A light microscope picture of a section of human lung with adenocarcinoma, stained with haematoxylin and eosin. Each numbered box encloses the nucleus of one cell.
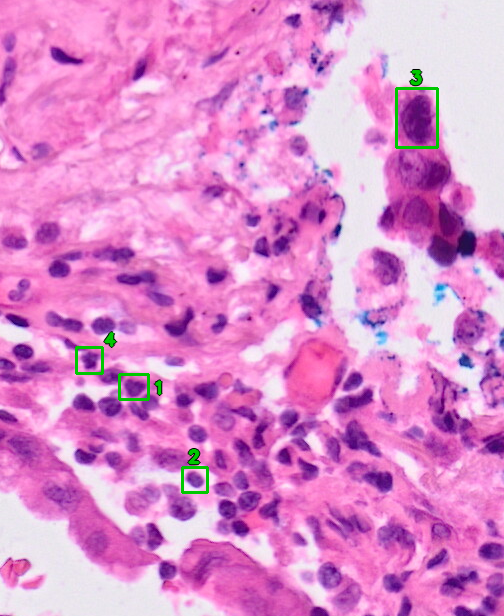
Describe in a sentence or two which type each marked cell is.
Cell 1 is a lymphocyte, cell 2 is a lymphocyte, cell 3 is a carcinoma cell and cell 4 is a lymphocyte.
